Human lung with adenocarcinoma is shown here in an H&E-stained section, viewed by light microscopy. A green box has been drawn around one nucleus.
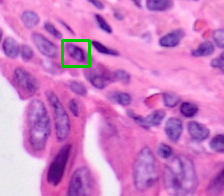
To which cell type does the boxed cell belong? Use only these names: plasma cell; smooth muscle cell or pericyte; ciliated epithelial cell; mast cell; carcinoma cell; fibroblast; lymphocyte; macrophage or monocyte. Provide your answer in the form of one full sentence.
For cell typing purposes, the boxed cell is a plasma cell.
